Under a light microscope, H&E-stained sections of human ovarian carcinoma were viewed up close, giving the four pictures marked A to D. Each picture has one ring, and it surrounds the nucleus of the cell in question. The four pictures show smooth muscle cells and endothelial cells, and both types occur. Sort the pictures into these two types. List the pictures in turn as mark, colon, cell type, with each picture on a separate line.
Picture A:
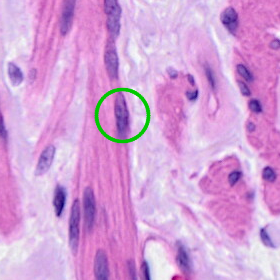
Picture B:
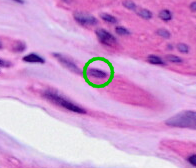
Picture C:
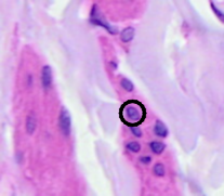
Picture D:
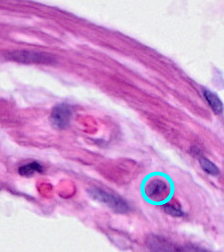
A: smooth muscle cell
B: smooth muscle cell
C: smooth muscle cell
D: endothelial cell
